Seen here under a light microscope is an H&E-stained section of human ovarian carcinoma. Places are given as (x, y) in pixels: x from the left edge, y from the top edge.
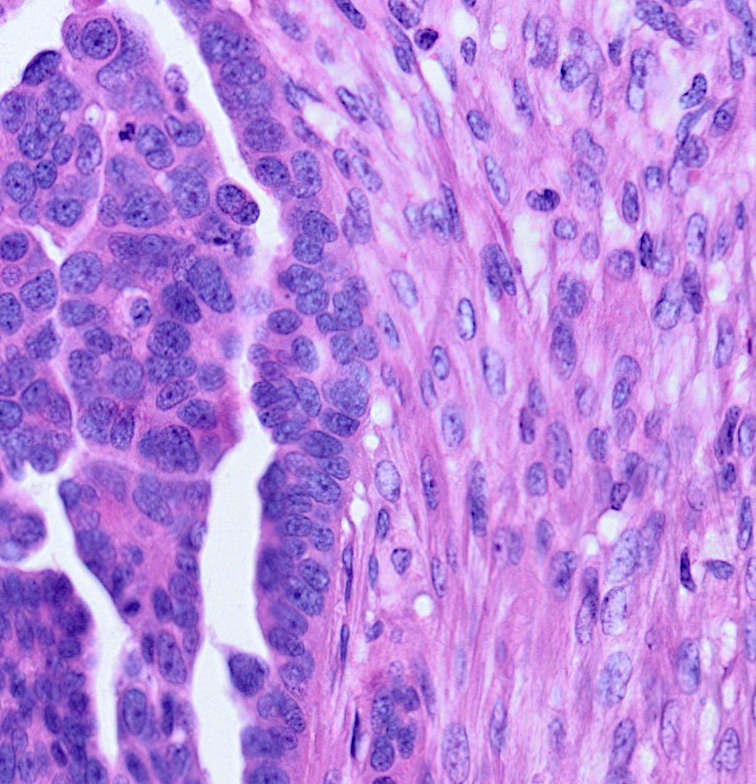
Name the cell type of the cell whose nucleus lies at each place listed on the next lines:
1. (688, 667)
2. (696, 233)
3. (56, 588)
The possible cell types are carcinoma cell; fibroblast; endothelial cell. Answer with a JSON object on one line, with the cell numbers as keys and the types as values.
{"1": "fibroblast", "2": "fibroblast", "3": "carcinoma cell"}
